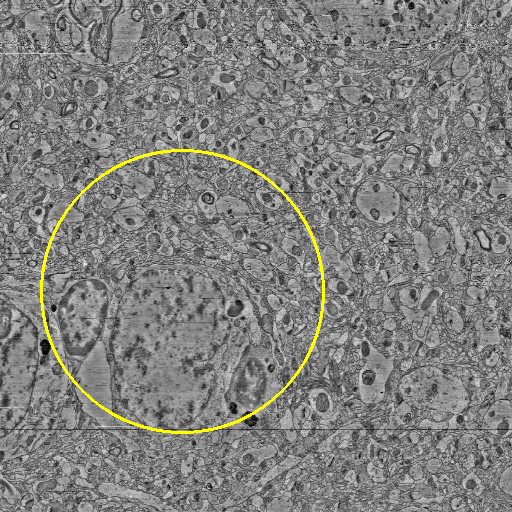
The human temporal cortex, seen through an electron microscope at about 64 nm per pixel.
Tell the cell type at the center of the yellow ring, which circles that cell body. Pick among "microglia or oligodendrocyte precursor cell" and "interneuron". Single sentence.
The ring is centered on the body of an interneuron.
